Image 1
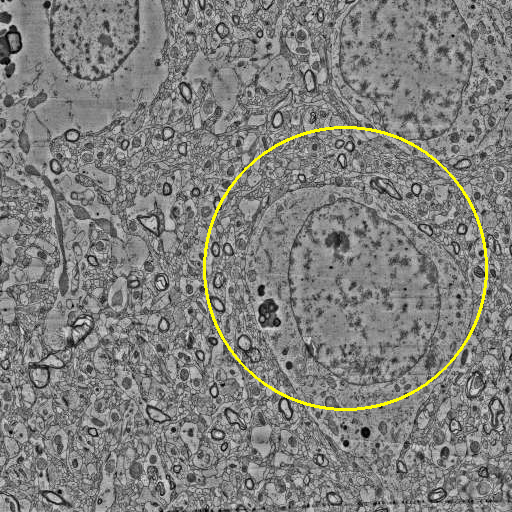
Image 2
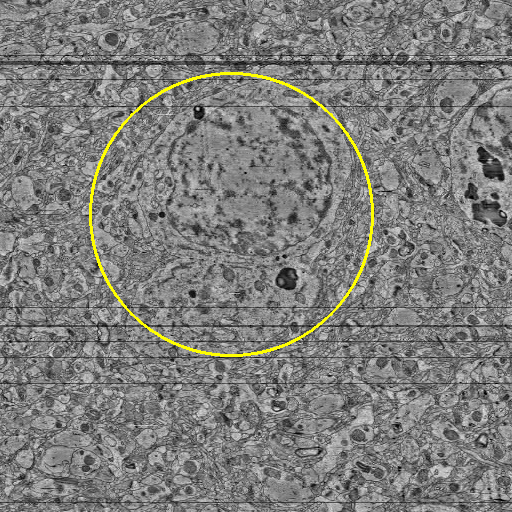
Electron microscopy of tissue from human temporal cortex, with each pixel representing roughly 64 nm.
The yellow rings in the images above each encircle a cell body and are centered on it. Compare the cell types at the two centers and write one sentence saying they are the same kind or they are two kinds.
Taken together, the two cells at the ring centers are two kinds.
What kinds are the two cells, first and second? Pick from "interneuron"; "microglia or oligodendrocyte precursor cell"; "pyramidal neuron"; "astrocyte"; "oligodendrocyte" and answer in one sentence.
The second picture holds an interneuron in its ring, and the first holds a pyramidal neuron.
